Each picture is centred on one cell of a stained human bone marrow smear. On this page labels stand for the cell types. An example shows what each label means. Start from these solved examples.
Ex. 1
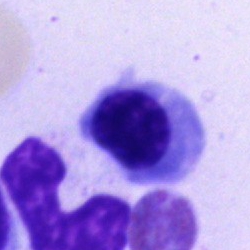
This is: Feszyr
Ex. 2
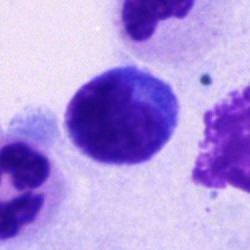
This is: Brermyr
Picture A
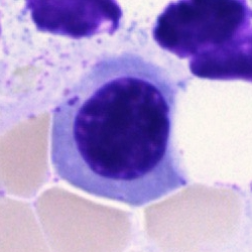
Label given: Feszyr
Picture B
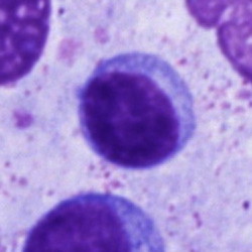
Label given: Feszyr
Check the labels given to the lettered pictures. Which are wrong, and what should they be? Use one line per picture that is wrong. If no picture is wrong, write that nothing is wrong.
B: change Feszyr to Brermyr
